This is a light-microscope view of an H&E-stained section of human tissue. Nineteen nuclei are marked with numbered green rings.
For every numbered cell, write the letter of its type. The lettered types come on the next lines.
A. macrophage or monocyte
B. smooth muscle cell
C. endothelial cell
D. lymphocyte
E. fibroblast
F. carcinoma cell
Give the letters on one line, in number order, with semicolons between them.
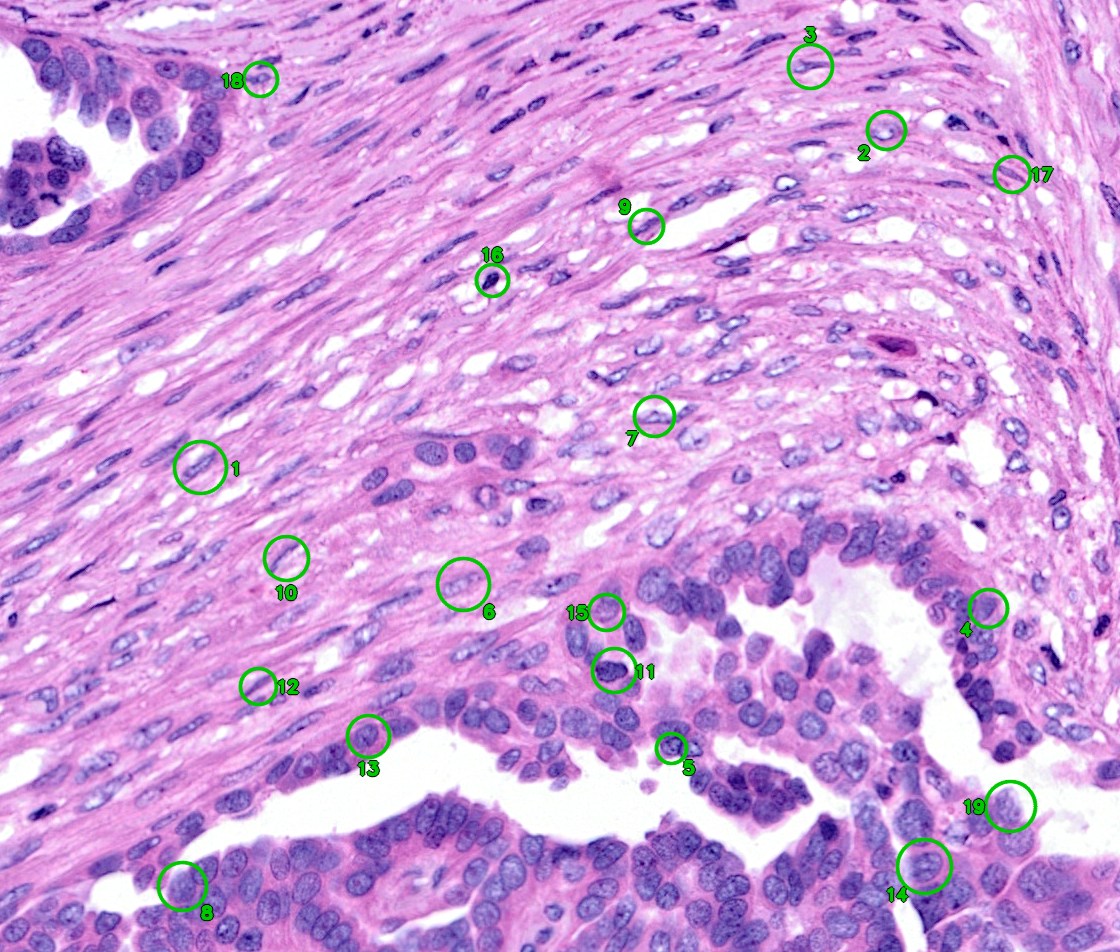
E; E; E; F; F; E; E; F; E; E; F; E; F; F; F; D; E; E; F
